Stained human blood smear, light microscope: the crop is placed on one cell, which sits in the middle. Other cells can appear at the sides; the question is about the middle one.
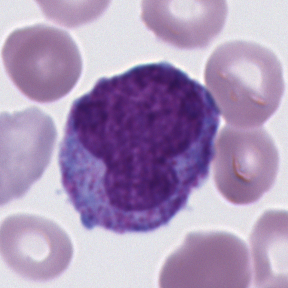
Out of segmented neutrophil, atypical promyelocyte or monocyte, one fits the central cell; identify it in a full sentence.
Classification of the middle cell gives an atypical promyelocyte.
